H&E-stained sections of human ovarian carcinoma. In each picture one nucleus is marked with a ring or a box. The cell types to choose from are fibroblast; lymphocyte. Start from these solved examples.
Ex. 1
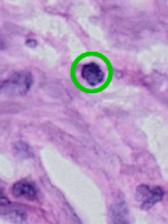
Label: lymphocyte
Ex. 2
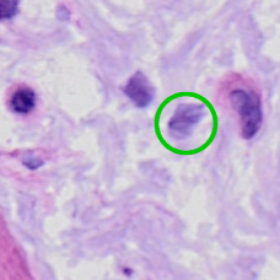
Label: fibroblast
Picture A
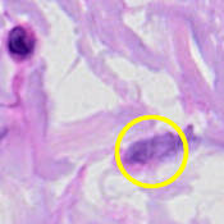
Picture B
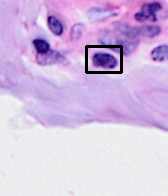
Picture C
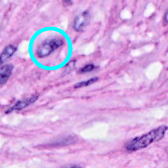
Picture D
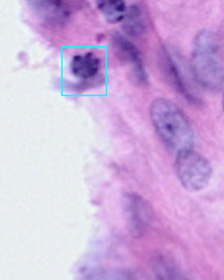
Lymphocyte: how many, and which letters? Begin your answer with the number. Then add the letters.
Count: 2 (B, D)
